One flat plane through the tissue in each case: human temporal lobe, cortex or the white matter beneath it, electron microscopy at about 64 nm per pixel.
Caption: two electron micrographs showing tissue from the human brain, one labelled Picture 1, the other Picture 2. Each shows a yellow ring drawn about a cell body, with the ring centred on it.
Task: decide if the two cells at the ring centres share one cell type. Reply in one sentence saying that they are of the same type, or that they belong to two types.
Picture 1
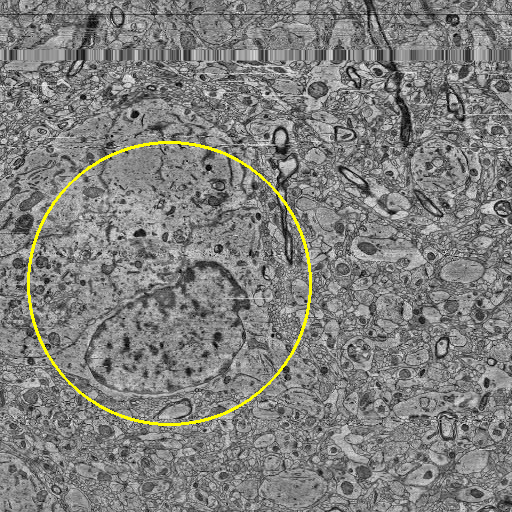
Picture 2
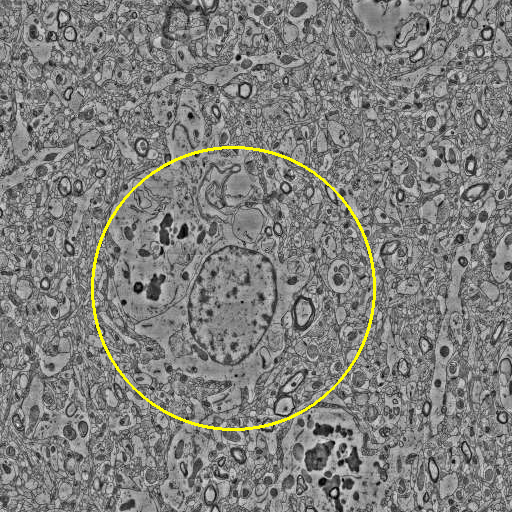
The cells at the ring centres in Picture 1 and Picture 2 belong to two types.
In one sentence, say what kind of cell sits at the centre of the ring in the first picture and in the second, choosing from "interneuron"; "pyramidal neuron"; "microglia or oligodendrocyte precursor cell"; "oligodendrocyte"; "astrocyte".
The first picture's ringed cell is a microglial cell or oligodendrocyte precursor cell, while the second picture's is an astrocyte.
